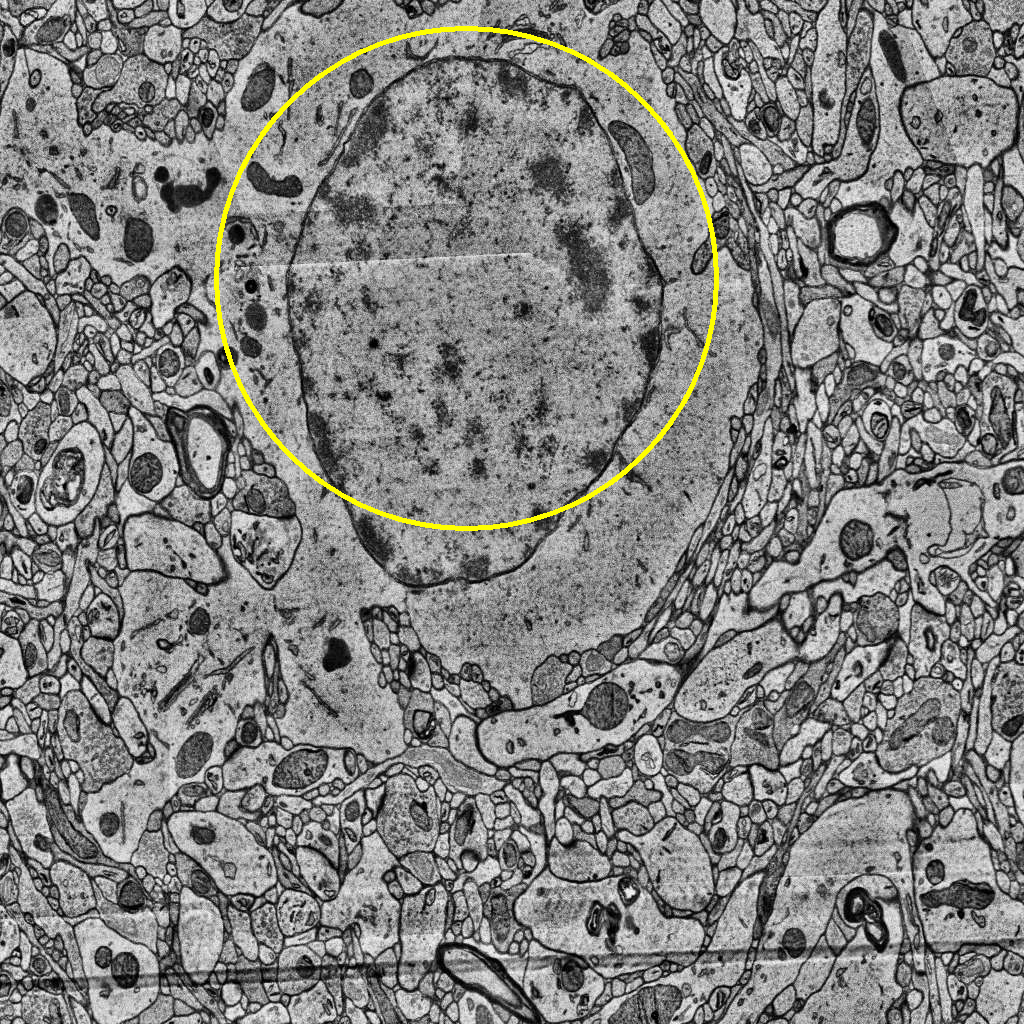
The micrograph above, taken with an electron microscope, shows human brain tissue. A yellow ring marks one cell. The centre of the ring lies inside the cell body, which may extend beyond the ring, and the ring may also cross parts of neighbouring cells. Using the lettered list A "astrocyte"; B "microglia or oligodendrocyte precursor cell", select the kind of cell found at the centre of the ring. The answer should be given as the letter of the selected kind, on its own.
A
